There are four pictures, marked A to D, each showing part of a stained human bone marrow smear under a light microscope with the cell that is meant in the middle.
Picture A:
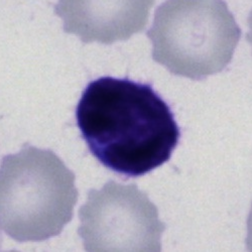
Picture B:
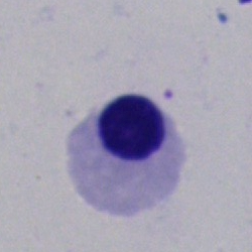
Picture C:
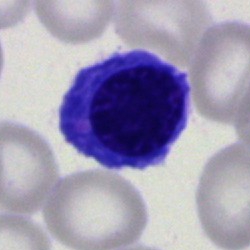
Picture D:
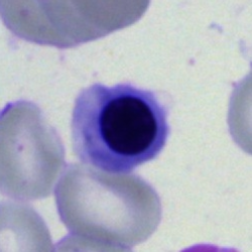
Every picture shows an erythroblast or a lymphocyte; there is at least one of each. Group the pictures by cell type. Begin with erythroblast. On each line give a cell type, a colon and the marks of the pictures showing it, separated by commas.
erythroblast: B, C, D
lymphocyte: A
